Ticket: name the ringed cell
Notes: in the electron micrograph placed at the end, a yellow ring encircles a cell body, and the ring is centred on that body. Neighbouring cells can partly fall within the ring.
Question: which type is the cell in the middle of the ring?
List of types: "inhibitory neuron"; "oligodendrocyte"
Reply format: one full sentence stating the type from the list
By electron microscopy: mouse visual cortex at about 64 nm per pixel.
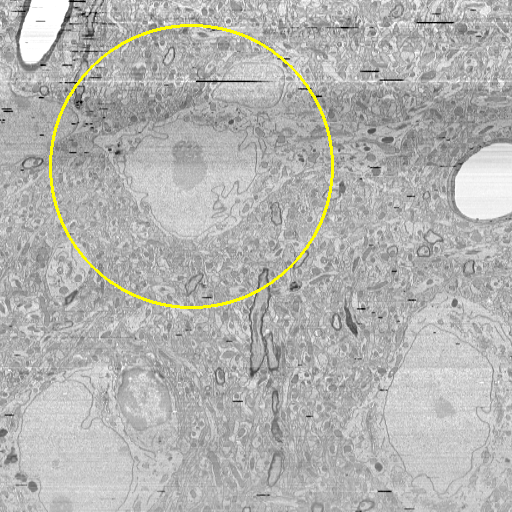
The cell sitting at the centre of the yellow ring is an inhibitory neuron.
